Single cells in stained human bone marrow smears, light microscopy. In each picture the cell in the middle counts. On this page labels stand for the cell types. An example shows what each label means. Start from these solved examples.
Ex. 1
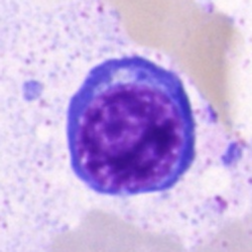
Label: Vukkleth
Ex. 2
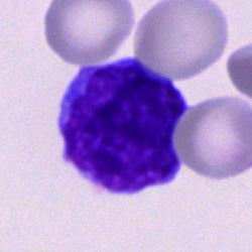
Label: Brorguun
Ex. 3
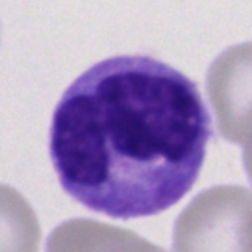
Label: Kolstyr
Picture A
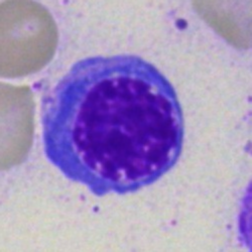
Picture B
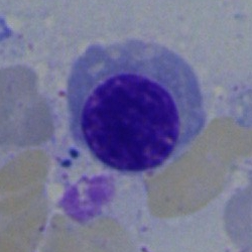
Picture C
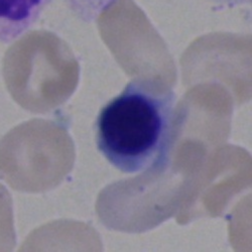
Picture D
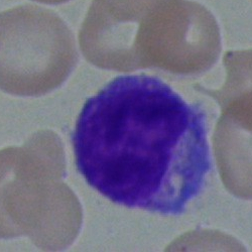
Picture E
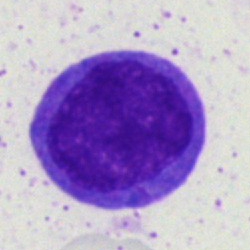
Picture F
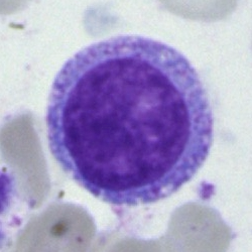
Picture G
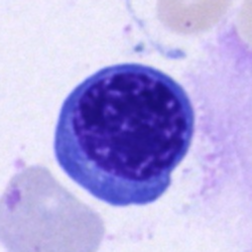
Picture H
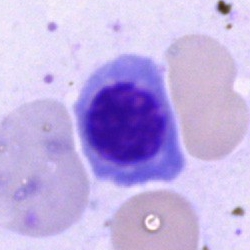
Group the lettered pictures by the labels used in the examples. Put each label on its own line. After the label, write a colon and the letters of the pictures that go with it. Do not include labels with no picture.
Vukkleth: A, B, C, G, H
Brorguun: D, E, F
